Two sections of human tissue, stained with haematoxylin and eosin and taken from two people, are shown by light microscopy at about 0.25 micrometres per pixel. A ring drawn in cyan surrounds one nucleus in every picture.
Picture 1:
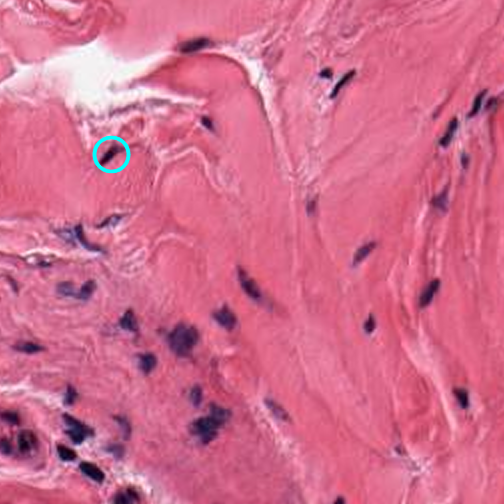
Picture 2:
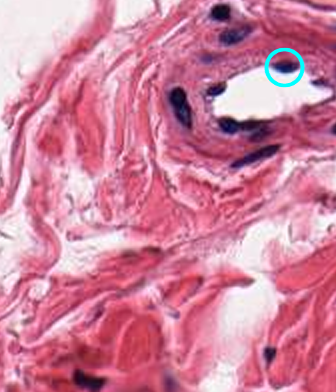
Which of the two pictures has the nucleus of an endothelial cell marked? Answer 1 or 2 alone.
2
